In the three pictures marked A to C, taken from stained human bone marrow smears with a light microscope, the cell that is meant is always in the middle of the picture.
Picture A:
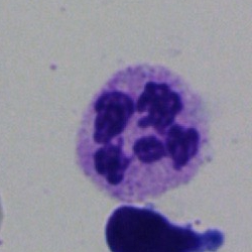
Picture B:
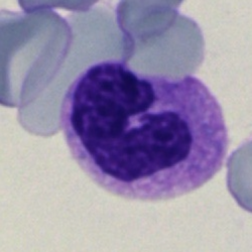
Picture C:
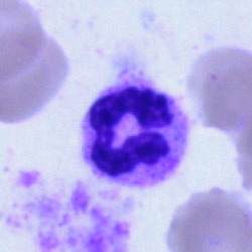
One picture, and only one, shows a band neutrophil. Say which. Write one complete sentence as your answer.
It is picture B that shows the band neutrophil.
